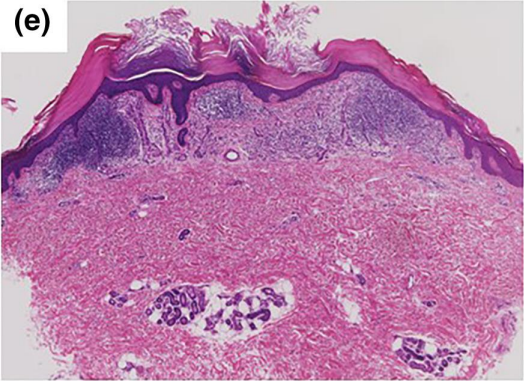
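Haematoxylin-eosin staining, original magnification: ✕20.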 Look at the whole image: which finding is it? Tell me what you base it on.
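A thick compact pink keratin layer lies on top of the epidermis. Flaky keratin masses sit in cup-like depressions of the surface.
Conclusion: Hyperkeratosis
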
